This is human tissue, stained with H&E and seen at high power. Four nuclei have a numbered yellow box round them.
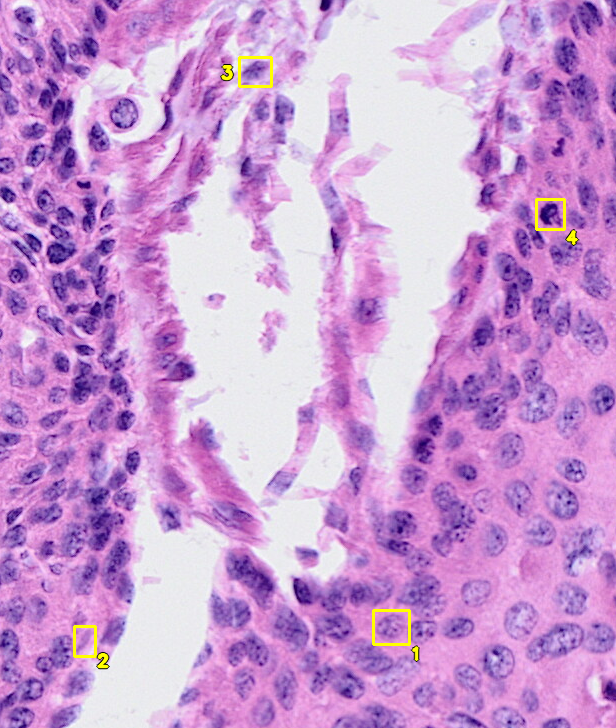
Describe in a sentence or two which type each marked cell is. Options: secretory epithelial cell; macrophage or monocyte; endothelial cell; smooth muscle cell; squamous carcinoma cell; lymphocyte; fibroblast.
Cell 1 is a squamous carcinoma cell, cell 2 is a squamous carcinoma cell, cell 3 is a fibroblast and cell 4 is a squamous carcinoma cell.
